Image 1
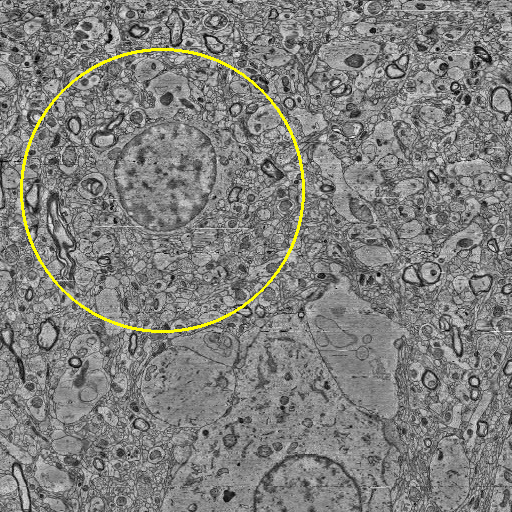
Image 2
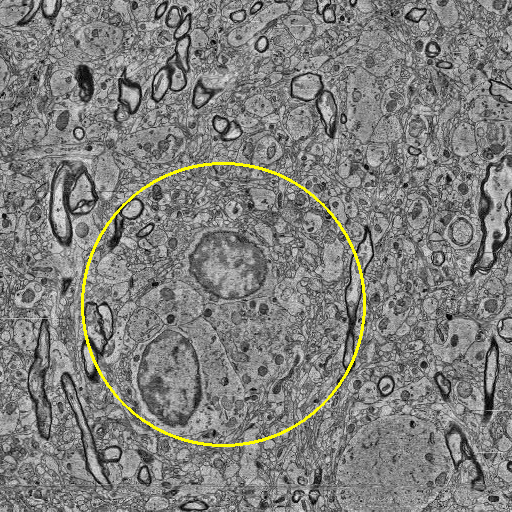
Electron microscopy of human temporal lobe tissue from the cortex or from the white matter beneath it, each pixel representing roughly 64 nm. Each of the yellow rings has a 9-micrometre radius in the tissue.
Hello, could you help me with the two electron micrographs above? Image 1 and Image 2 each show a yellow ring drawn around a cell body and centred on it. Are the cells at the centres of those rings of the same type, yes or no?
yes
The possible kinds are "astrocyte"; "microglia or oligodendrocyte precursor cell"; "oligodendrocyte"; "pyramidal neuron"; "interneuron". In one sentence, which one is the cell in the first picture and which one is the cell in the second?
The ring centre holds an oligodendrocyte in each of the two pictures.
